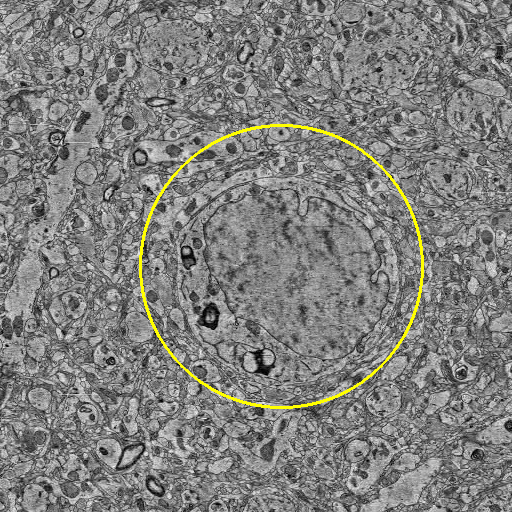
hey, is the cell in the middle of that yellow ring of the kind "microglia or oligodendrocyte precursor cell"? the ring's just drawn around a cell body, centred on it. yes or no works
no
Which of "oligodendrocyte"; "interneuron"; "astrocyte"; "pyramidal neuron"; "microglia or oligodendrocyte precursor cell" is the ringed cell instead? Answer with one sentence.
Instead, the ringed cell here is a pyramidal neuron.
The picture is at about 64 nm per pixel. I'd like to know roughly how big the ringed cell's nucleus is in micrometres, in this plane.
Approximately 13 by 10 micrometers in this plane.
